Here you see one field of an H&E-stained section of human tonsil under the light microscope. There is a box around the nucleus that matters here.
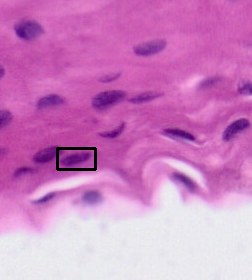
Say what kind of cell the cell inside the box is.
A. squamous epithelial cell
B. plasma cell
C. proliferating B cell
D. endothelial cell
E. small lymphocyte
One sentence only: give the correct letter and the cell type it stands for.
Given that the cell inside the box is a squamous epithelial cell, option A is the correct one.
